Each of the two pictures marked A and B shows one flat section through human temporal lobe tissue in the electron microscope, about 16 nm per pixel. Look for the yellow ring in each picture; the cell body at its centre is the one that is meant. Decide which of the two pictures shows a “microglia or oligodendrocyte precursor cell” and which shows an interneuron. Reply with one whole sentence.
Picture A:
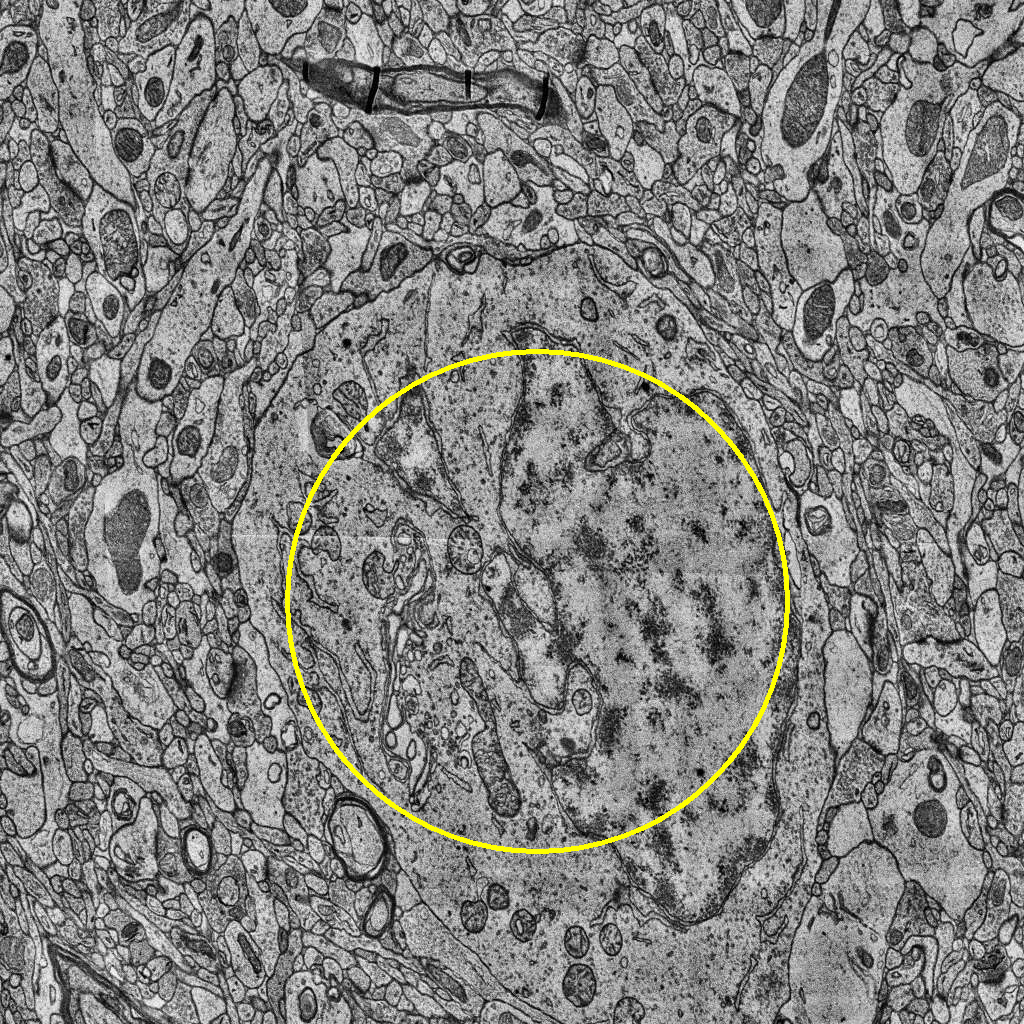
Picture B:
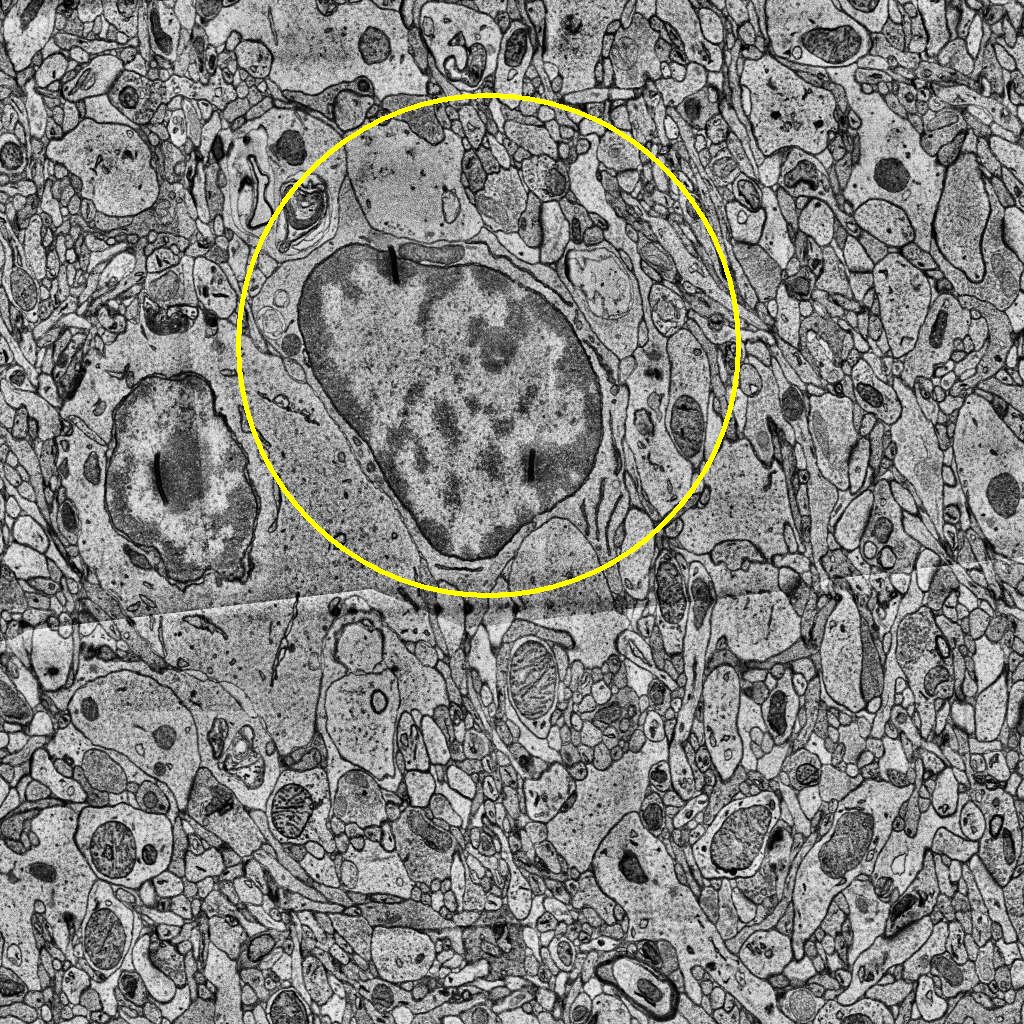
In picture A the cell is an interneuron; in picture B, a “microglia or oligodendrocyte precursor cell”.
